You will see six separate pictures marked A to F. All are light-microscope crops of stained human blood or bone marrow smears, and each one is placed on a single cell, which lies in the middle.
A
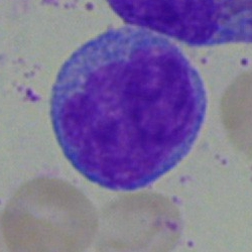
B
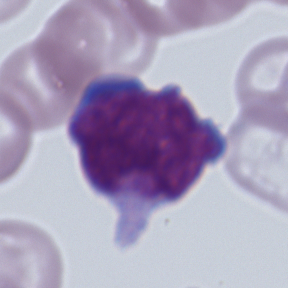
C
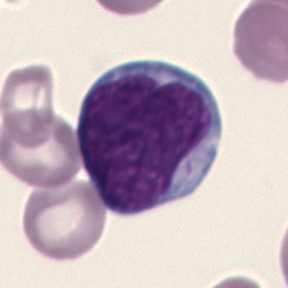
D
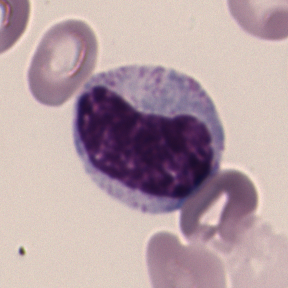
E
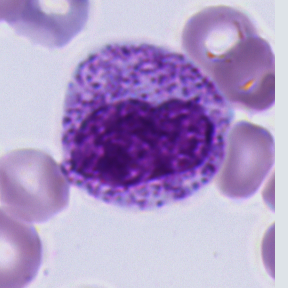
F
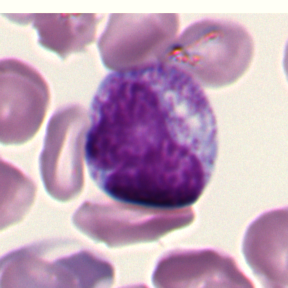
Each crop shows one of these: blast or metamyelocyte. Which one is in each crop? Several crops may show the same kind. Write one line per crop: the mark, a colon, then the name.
A: blast
B: blast
C: blast
D: metamyelocyte
E: metamyelocyte
F: metamyelocyte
